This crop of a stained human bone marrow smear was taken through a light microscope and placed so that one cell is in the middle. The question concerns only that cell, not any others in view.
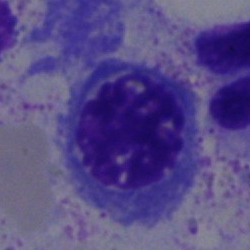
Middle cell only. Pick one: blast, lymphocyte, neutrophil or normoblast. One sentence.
The cell featured at the centre of this crop is a normoblast.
